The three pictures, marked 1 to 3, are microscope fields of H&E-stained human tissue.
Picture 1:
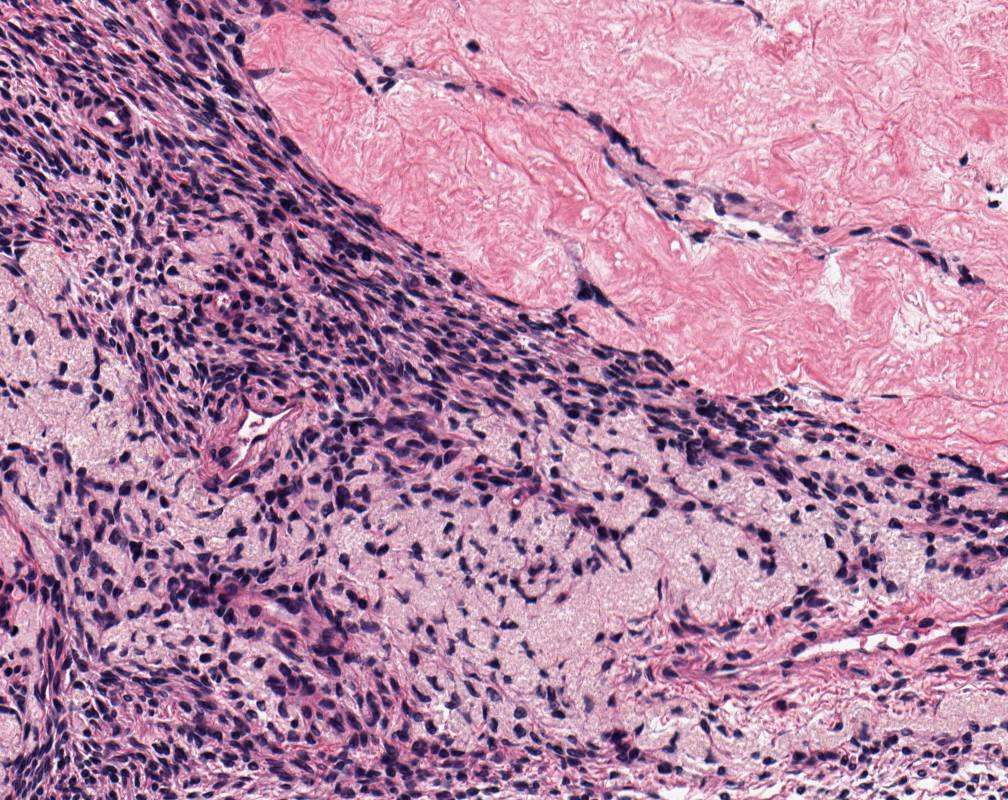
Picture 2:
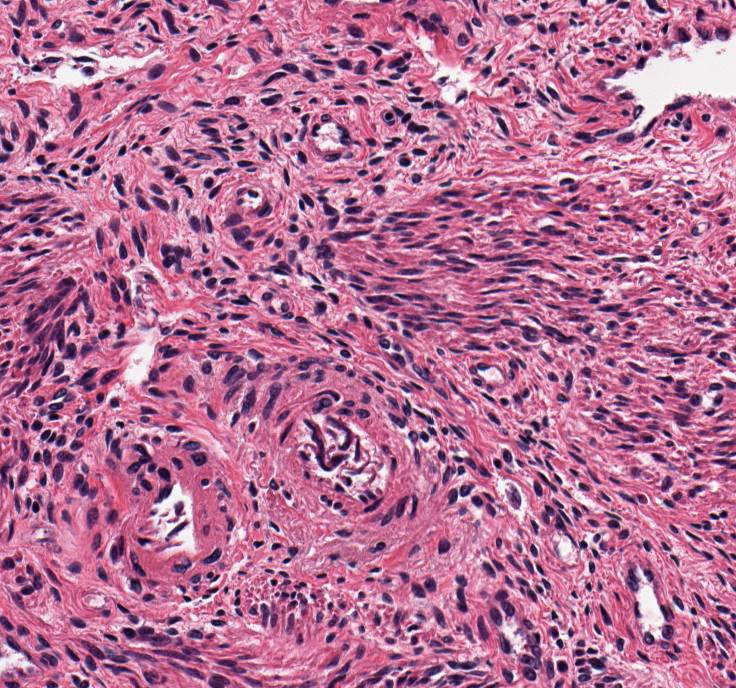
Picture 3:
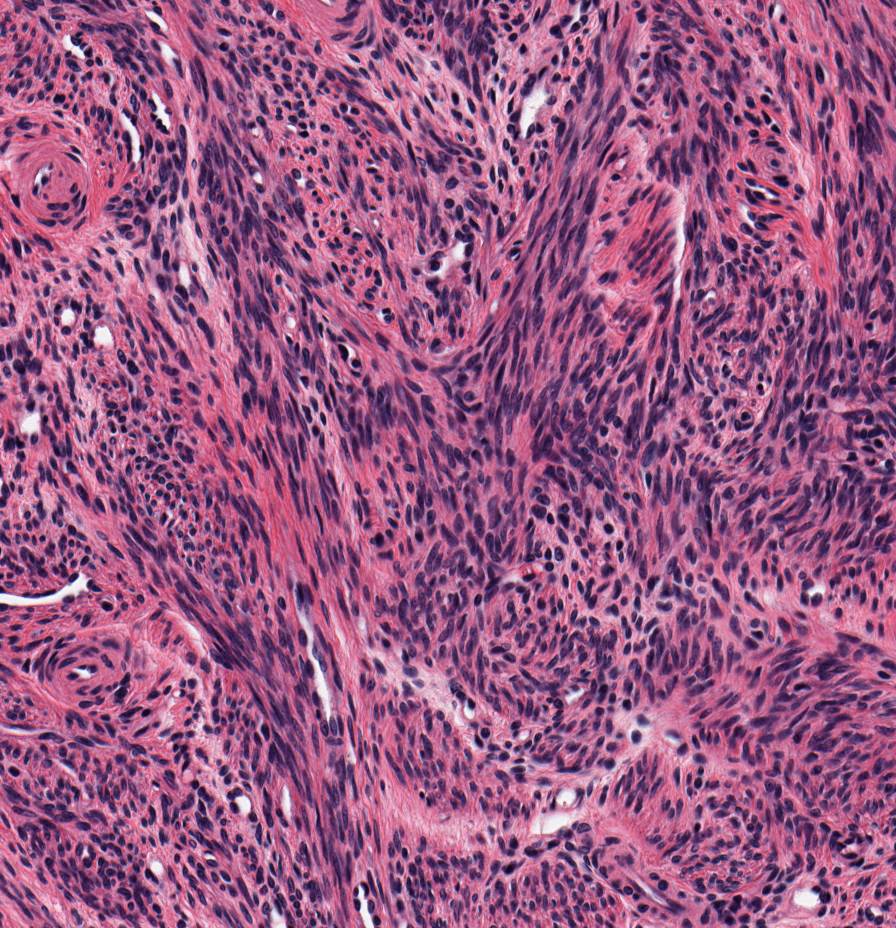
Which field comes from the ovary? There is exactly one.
1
